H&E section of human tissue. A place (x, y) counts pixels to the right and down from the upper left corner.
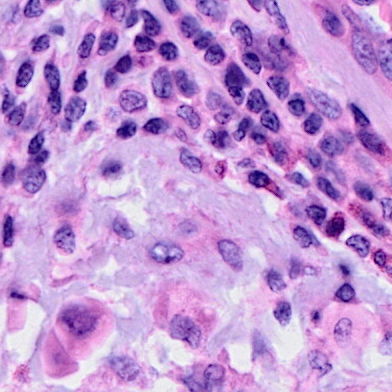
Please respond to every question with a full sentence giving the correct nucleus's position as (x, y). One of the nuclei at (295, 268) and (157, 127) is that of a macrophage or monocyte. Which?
The nucleus at (295, 268), rather than the other, belongs to a macrophage or monocyte.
